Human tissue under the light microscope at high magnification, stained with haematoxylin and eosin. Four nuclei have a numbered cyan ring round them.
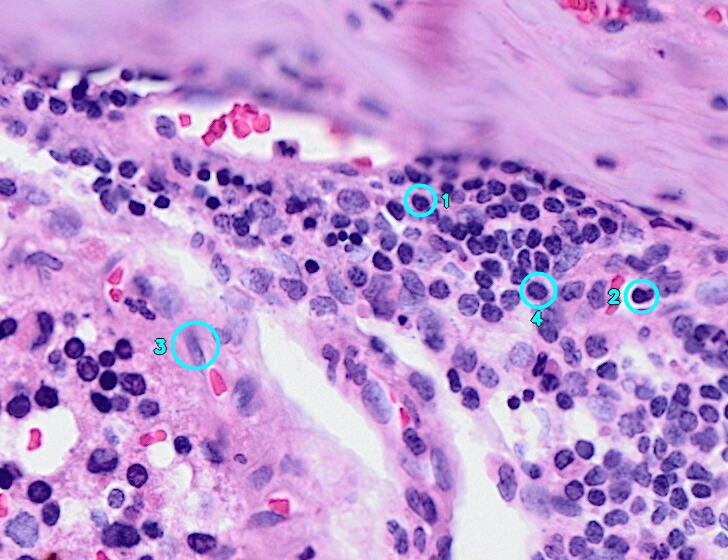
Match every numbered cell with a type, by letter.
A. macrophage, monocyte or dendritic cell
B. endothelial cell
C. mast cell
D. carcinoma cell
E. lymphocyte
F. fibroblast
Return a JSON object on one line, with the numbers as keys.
{"1": "E", "2": "E", "3": "B", "4": "E"}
